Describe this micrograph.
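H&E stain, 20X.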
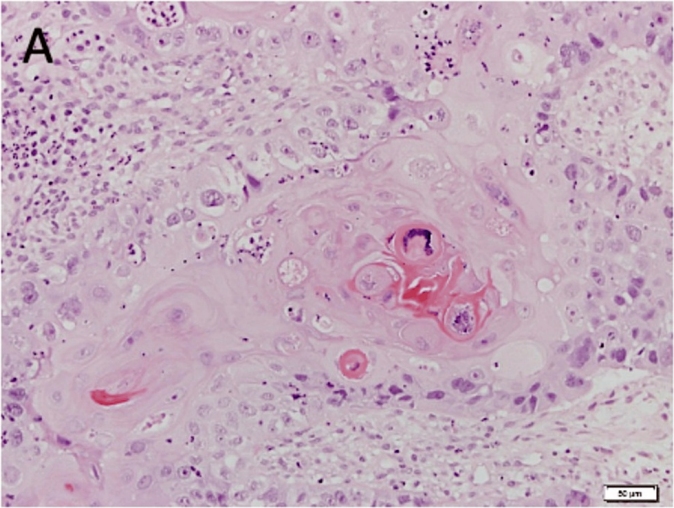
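Infiltrative nests of squamous tumour cells lie within a stroma containing many small dark inflammatory cells. The tumour cells have abundant pink cytoplasm and nuclei that vary markedly in size and shape, and the centre of a nest holds round bright pink keratinized structures.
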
